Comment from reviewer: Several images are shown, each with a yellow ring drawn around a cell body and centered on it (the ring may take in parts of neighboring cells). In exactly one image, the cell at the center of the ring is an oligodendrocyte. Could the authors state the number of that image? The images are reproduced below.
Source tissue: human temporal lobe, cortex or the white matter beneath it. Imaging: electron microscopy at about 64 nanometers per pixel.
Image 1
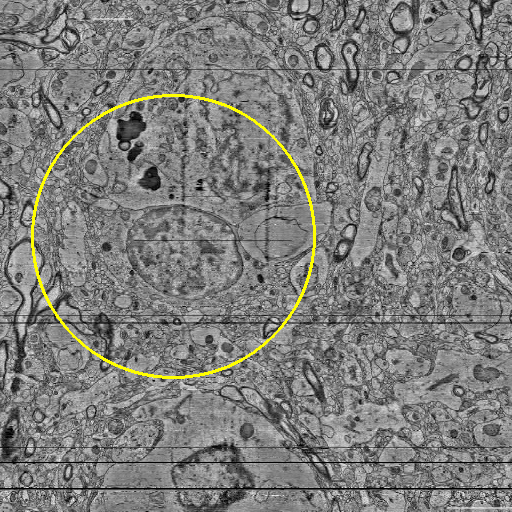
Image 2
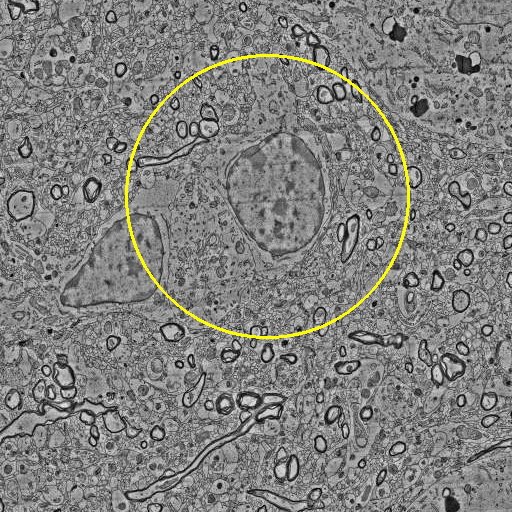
1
